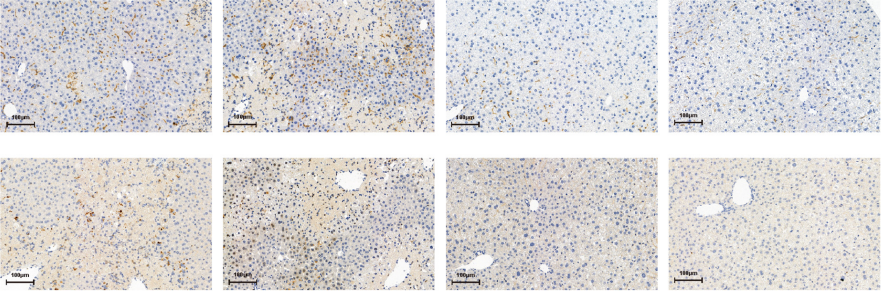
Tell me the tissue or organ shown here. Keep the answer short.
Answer: liver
